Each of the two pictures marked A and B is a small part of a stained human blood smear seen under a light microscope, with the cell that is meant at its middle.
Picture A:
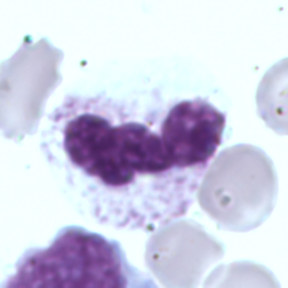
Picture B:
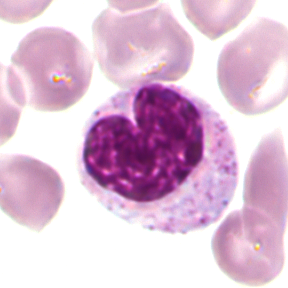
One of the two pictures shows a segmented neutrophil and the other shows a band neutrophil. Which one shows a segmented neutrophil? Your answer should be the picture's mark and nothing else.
A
